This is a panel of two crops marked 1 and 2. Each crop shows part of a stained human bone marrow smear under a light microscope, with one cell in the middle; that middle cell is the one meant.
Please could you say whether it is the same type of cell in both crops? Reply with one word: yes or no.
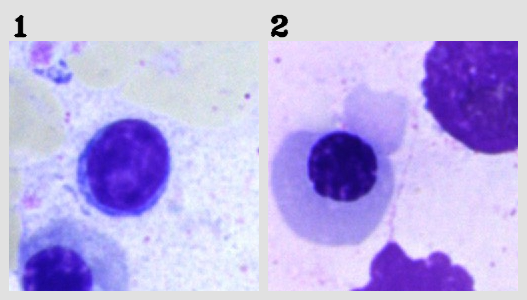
no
